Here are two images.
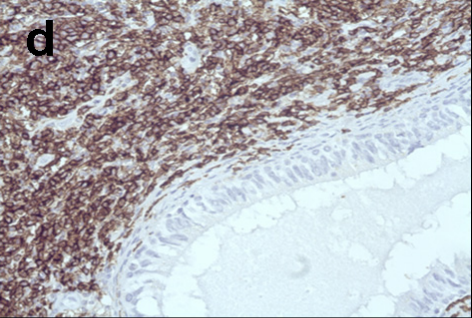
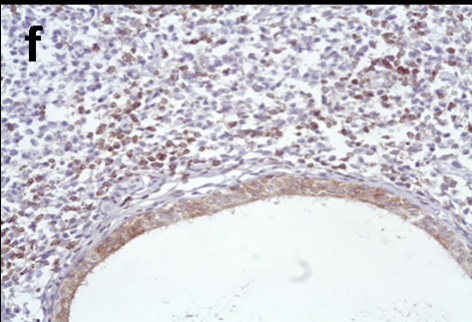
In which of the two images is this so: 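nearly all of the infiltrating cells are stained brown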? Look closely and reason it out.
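Second image: most infiltrating cells have blue nuclei, with only scattered brown cells. First image: the infiltrate is almost uniformly brown. That points to this answer: the first image.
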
